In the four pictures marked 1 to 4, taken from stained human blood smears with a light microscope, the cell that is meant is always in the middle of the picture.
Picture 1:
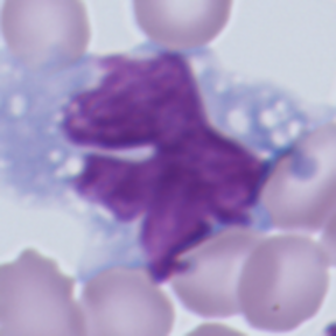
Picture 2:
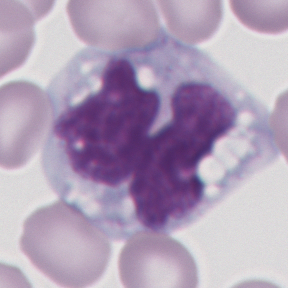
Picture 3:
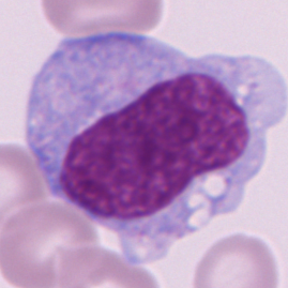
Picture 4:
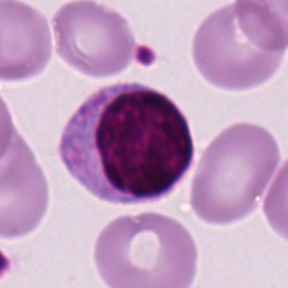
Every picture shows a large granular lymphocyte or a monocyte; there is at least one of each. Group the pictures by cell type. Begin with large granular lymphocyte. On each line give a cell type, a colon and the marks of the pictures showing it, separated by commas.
large granular lymphocyte: 4
monocyte: 1, 2, 3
